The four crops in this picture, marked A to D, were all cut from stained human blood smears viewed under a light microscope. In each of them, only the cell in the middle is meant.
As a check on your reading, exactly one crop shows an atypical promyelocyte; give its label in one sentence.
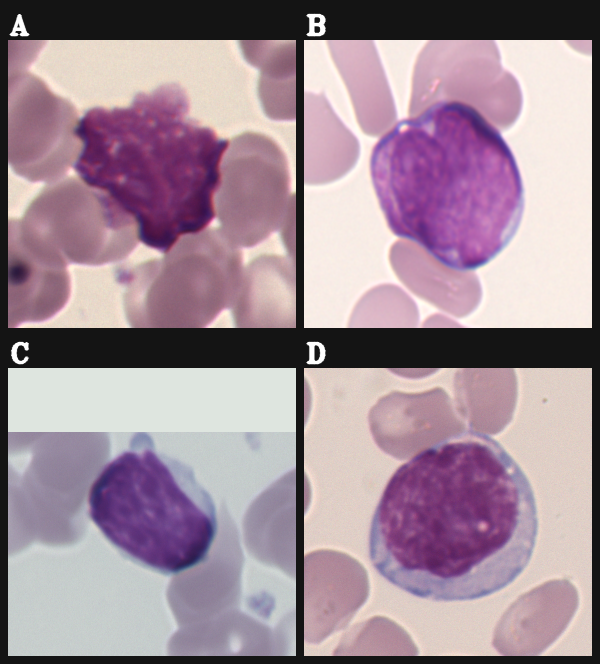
Crop B is the one to choose: it shows an atypical promyelocyte.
